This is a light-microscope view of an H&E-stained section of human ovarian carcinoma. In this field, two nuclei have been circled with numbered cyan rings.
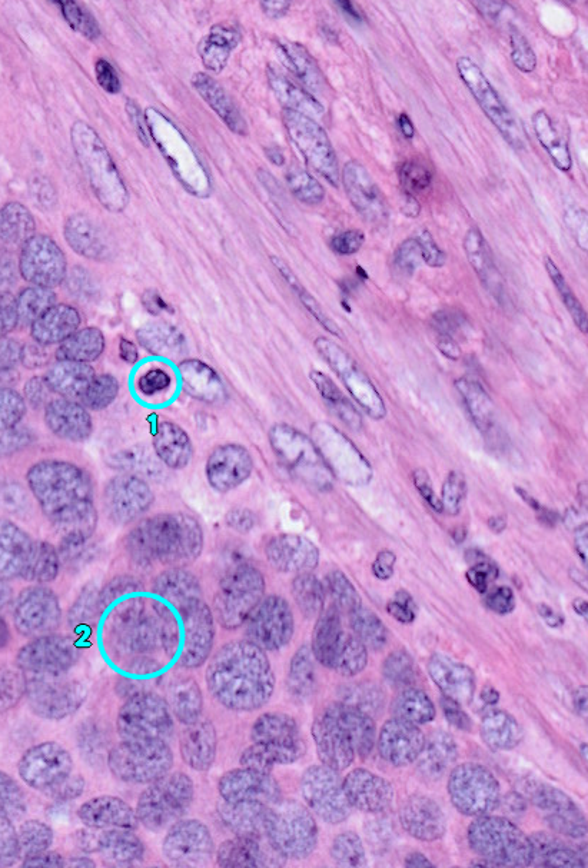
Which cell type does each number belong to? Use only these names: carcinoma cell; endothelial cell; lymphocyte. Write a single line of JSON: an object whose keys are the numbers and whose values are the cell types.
{"1": "lymphocyte", "2": "carcinoma cell"}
